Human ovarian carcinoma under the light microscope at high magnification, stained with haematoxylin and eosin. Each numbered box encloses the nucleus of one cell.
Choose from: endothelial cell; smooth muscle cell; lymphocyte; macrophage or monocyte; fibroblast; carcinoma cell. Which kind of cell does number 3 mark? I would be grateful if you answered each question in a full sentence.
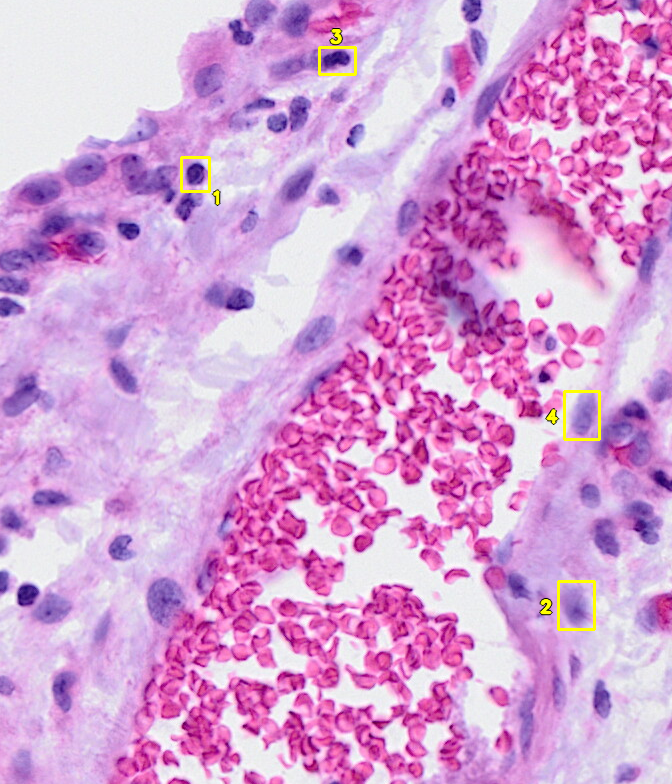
Here the cell numbered 3 is a lymphocyte.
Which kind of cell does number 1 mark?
What the number 1 marks in this field is a lymphocyte.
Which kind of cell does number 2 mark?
Cell number 2 in this section is a fibroblast.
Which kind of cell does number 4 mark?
Numbered cell 4 is an endothelial cell in this tissue section.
